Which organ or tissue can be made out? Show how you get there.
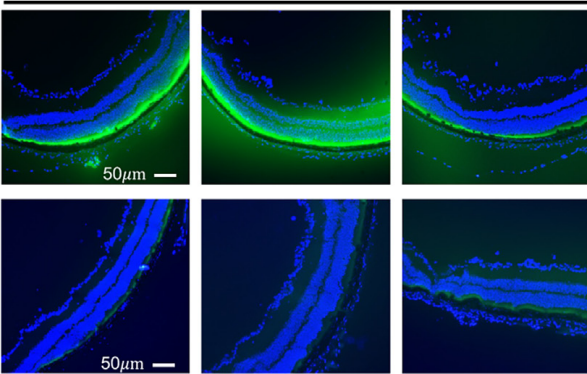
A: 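Curved sheets of tissue made of several parallel bands of blue nuclei. The nuclear bands are separated by nucleus-poor bands. One nuclear band is thick and densely packed, another is a sparse single row.
Answer: retina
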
